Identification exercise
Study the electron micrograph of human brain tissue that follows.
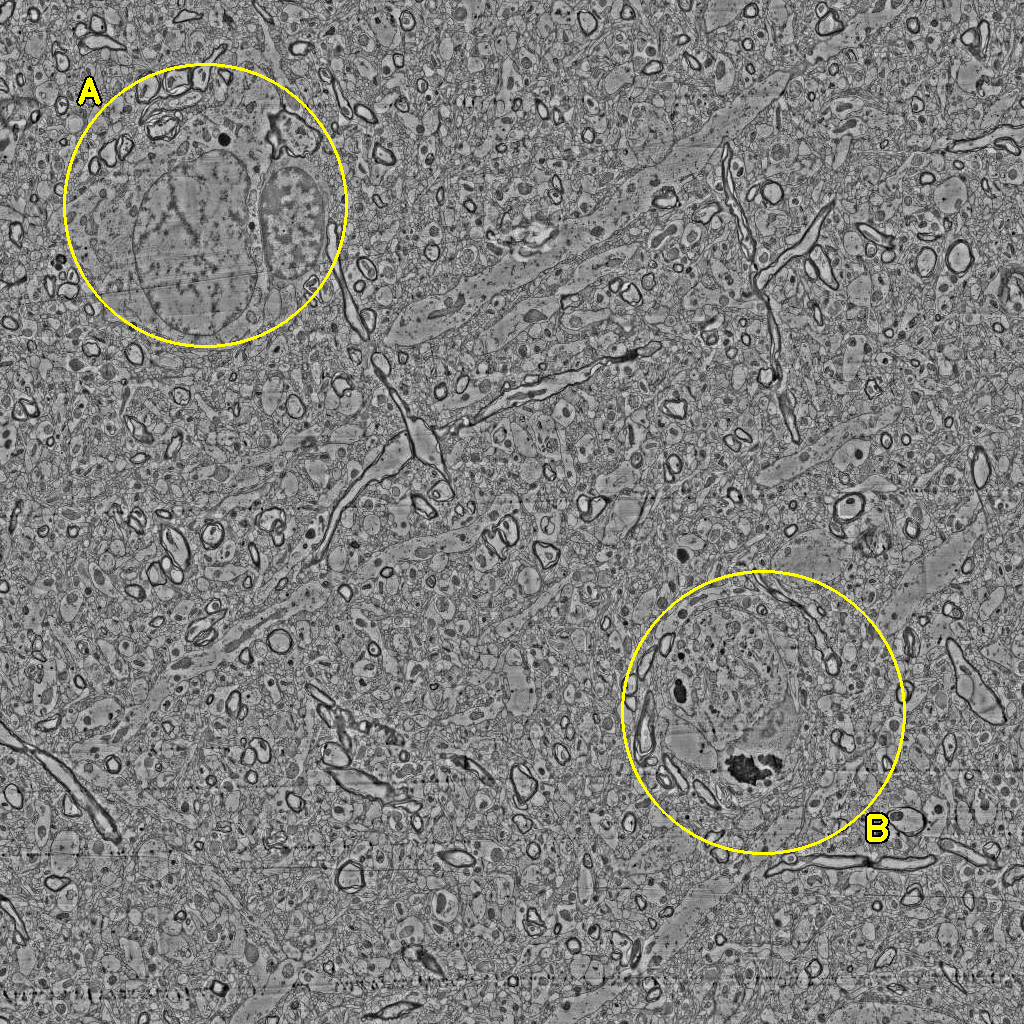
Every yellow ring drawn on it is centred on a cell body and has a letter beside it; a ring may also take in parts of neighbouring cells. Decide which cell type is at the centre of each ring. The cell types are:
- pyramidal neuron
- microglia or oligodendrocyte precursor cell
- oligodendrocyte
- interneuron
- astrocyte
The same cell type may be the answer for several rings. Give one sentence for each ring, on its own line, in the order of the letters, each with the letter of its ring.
Ring A encircles a pyramidal neuron.
Ring B encircles an oligodendrocyte.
